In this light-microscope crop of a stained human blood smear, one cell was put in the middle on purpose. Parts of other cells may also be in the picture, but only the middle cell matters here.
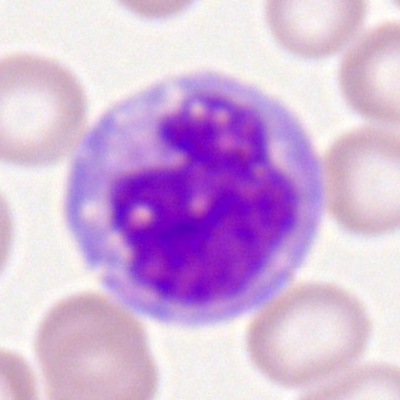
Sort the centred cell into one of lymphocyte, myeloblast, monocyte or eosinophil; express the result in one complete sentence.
The central cell, amid any neighbouring cells, is a monocyte.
